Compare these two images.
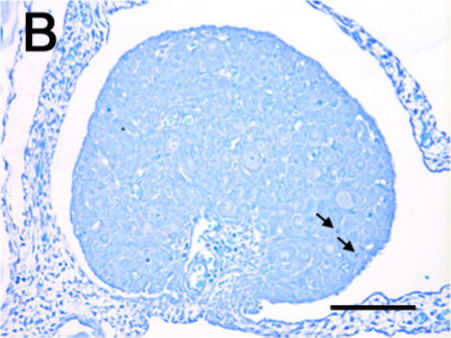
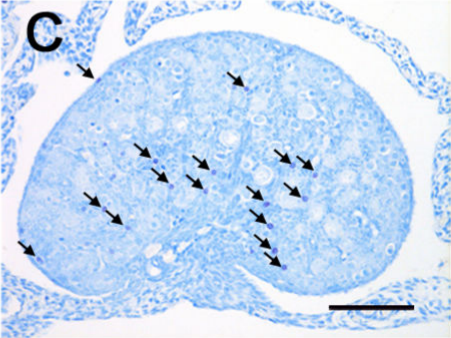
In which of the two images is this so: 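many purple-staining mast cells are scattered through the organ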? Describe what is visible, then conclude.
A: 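Second image: more than a dozen small purple-violet cells are spread through the interior of the organ. First image: only about two such purple cells are visible. That points to this answer: the second image.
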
